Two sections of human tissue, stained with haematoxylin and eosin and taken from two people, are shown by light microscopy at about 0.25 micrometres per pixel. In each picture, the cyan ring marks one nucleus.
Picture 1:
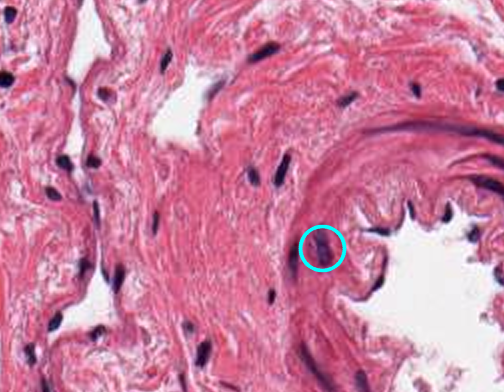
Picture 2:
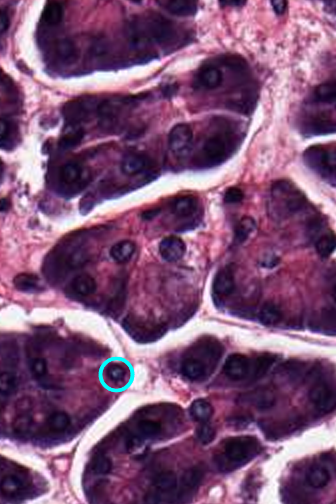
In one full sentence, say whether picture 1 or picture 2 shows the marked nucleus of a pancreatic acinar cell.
The marked nucleus belongs, in picture 2, to a pancreatic acinar cell.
